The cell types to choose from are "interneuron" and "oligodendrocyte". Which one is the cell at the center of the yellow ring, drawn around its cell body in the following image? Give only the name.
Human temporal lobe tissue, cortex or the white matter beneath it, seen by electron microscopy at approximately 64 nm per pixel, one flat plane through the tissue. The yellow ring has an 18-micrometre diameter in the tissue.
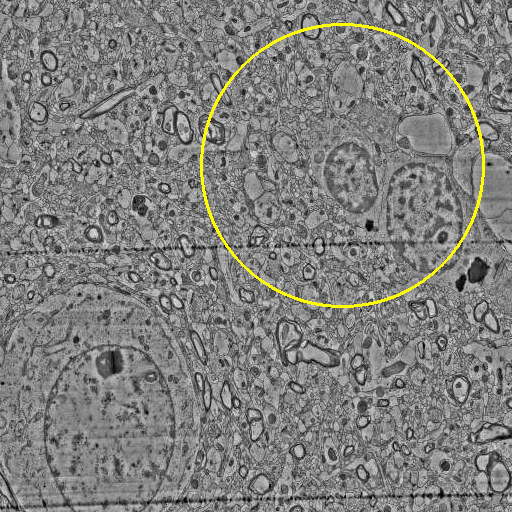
oligodendrocyte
